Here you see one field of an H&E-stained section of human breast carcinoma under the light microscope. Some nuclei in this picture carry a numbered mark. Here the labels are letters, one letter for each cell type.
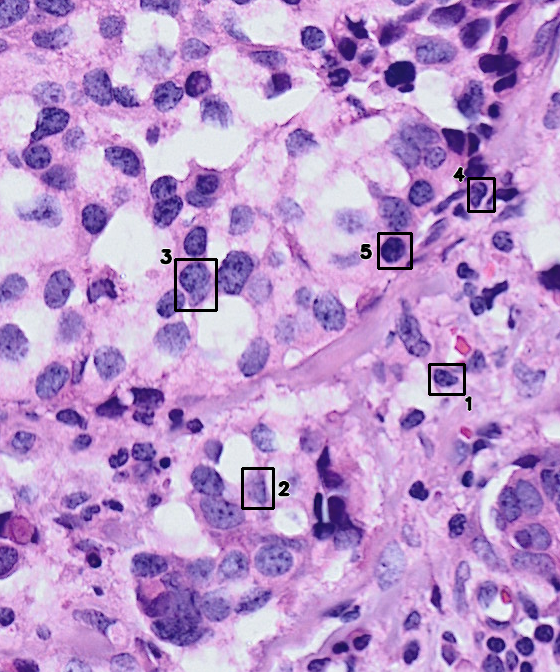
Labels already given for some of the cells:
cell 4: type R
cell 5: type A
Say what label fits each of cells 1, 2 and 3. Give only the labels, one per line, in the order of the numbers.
type R
type A
type A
